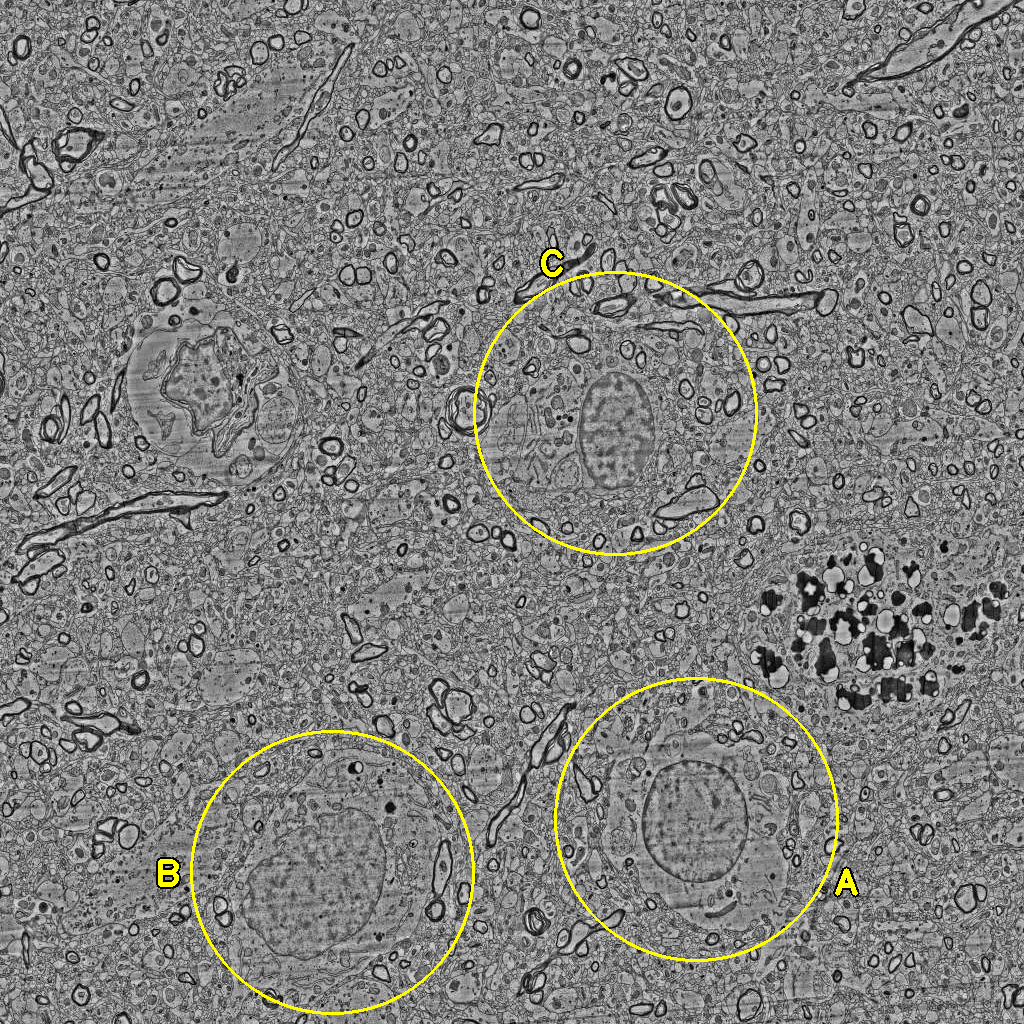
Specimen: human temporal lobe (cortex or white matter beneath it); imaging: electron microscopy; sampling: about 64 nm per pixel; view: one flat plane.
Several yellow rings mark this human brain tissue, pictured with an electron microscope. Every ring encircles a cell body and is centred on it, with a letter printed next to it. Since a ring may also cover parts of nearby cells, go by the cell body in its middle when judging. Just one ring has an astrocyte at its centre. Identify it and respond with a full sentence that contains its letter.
The answer is ring A, whose centre rests on the cell asked for.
